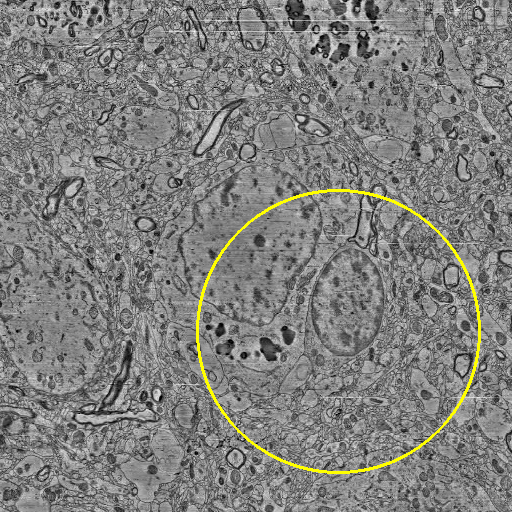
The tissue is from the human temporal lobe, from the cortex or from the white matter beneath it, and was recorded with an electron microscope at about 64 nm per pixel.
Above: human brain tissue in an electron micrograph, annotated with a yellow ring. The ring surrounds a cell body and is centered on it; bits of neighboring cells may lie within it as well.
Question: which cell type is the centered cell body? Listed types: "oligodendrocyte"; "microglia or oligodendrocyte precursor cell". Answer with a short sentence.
The centered cell body is an oligodendrocyte.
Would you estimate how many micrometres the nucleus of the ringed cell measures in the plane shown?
Roughly 7 micrometres by 5 micrometres, so the nucleus is clearly longer than it is wide in this plane.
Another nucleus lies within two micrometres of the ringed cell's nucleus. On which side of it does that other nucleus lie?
That other nucleus appears to the upper left of it.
